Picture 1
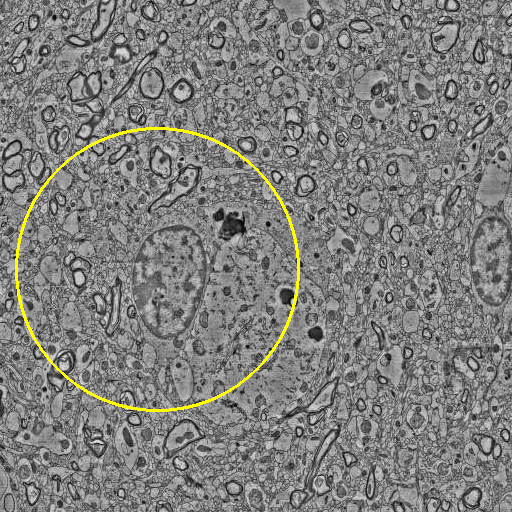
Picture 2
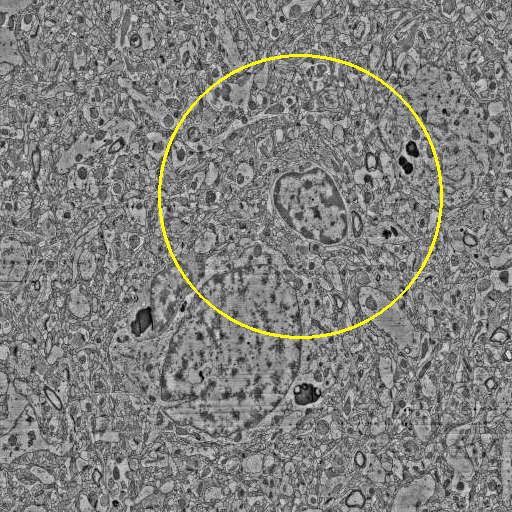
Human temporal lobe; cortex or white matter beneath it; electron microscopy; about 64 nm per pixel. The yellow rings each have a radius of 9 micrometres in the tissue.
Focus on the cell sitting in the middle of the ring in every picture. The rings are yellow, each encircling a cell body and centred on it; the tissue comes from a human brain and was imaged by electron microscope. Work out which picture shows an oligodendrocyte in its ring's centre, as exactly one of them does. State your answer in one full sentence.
In picture 1, the ring is centred on the cell in question.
